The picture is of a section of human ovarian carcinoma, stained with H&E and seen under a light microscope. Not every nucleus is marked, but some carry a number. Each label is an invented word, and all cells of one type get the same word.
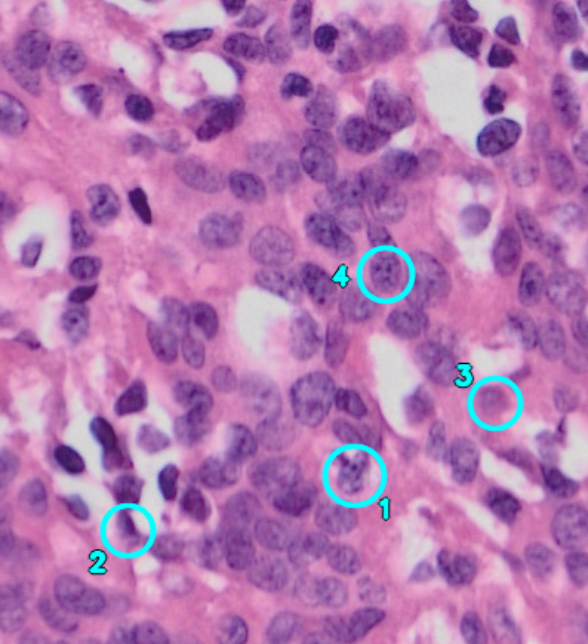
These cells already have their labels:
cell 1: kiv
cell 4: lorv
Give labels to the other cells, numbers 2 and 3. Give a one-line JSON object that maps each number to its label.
{"2": "lorv", "3": "lorv"}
